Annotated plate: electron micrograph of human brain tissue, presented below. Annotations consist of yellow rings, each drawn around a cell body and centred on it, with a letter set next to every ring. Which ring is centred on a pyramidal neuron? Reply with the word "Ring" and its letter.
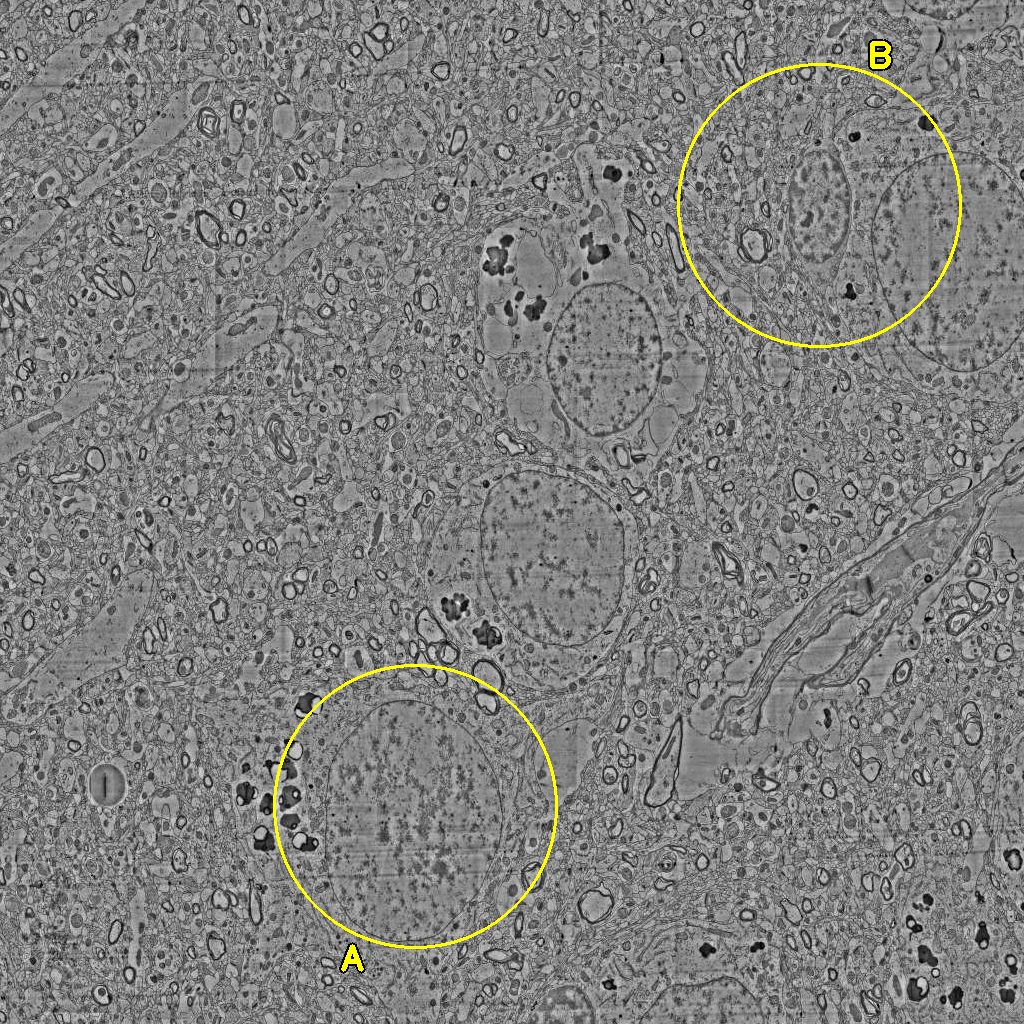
Ring A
